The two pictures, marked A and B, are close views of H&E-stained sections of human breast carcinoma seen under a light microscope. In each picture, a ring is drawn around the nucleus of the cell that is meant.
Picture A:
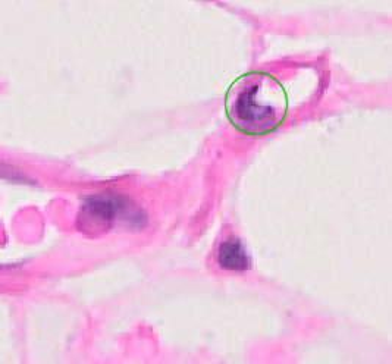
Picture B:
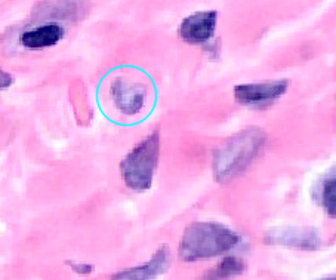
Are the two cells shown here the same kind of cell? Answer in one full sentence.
Yes, both cells are endothelial cells.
